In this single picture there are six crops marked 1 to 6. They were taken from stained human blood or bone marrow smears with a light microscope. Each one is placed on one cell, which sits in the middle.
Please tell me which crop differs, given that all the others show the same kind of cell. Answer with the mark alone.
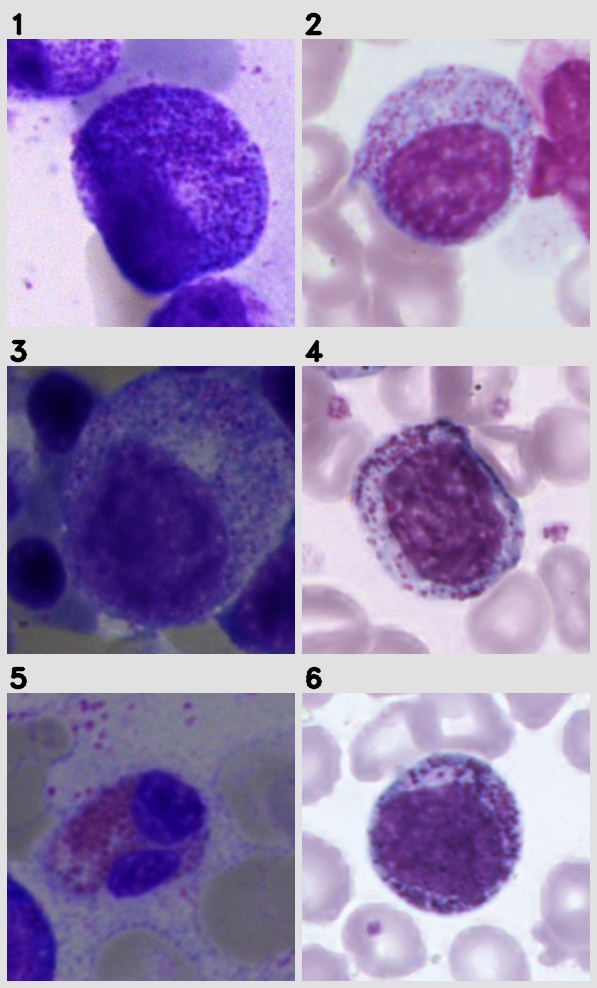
5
